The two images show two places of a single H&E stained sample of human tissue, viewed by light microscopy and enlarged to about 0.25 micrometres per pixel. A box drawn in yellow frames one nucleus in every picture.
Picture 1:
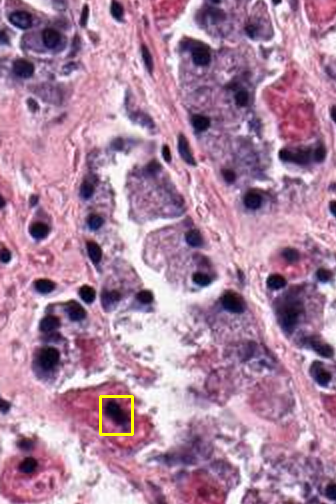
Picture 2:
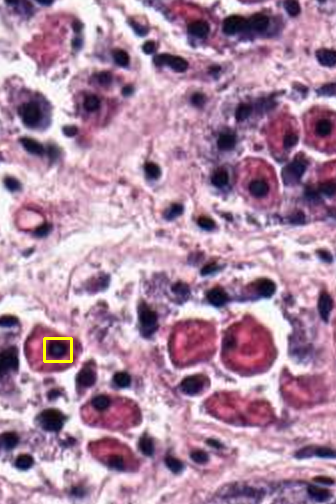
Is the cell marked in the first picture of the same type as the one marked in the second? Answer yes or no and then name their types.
Yes, both are parietal cells.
